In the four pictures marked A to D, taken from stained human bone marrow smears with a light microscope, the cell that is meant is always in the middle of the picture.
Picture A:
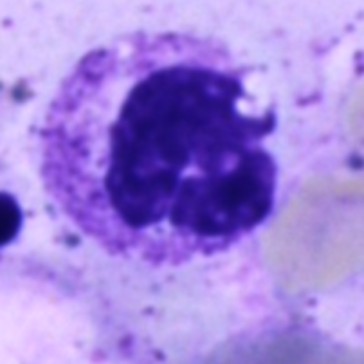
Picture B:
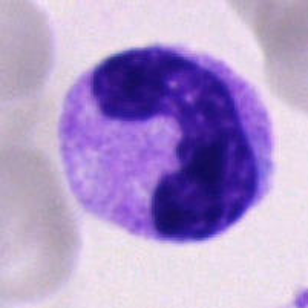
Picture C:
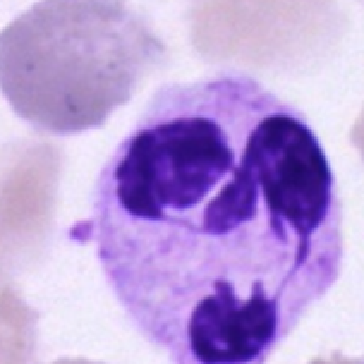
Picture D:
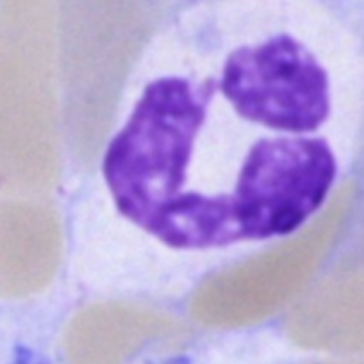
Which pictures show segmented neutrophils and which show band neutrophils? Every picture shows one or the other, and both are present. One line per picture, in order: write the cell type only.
segmented neutrophil
band neutrophil
segmented neutrophil
segmented neutrophil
